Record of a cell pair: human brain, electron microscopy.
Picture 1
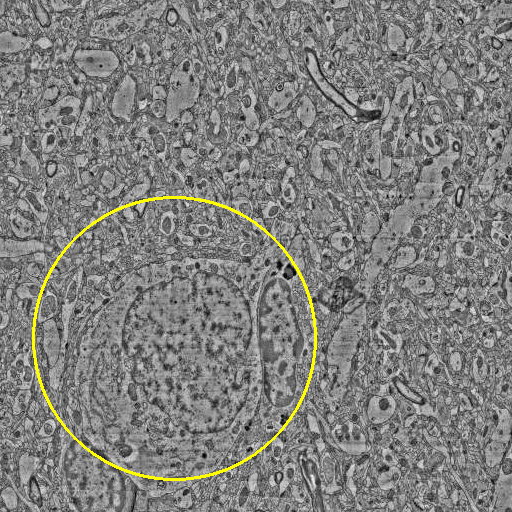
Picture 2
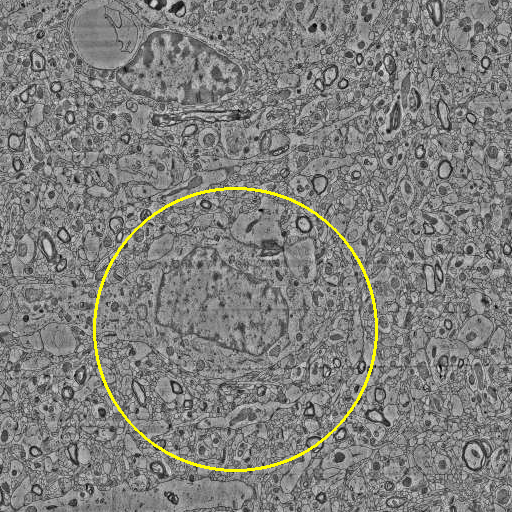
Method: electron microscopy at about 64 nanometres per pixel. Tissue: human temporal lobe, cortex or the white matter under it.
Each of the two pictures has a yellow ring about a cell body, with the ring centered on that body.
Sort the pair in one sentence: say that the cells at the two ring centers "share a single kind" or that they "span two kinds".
The cells centered in the rings of Pictures 1 and 2 share a single kind.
